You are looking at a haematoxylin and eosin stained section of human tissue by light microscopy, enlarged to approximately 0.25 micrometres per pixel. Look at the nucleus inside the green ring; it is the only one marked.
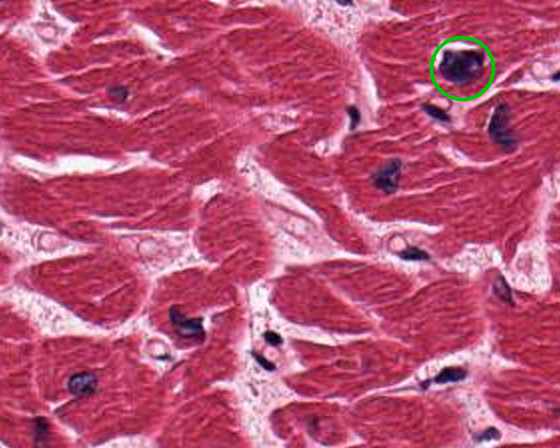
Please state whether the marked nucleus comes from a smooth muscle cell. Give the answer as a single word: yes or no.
no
